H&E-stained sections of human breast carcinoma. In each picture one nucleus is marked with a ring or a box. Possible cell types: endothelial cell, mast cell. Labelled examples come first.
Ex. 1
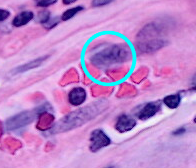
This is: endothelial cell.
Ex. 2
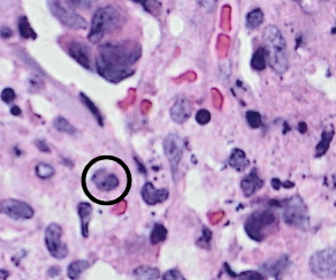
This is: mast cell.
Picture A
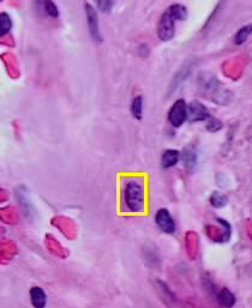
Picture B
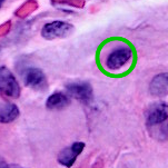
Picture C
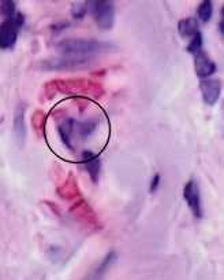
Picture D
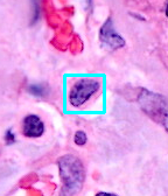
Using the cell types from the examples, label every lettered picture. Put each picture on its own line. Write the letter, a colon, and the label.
A: mast cell.
B: mast cell.
C: endothelial cell.
D: mast cell.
